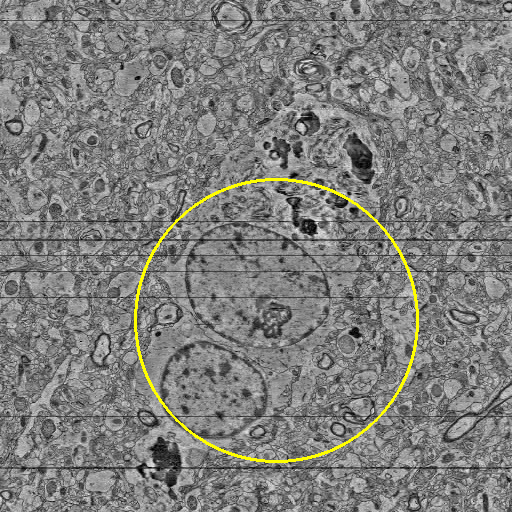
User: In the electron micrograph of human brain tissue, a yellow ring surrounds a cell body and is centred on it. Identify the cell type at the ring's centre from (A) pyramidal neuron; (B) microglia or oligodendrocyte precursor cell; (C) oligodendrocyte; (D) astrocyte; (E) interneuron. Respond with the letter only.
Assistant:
D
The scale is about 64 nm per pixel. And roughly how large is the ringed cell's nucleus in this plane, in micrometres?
In this plane the nucleus measures roughly 10 by 8 micrometers.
